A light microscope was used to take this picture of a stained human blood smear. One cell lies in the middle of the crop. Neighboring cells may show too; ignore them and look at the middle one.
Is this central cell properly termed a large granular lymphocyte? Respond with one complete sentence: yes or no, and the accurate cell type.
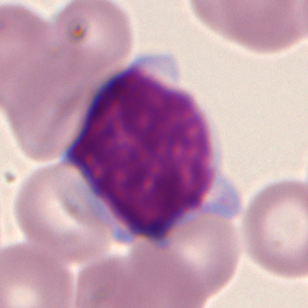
Yes, the cell centred in the field of view is a large granular lymphocyte.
